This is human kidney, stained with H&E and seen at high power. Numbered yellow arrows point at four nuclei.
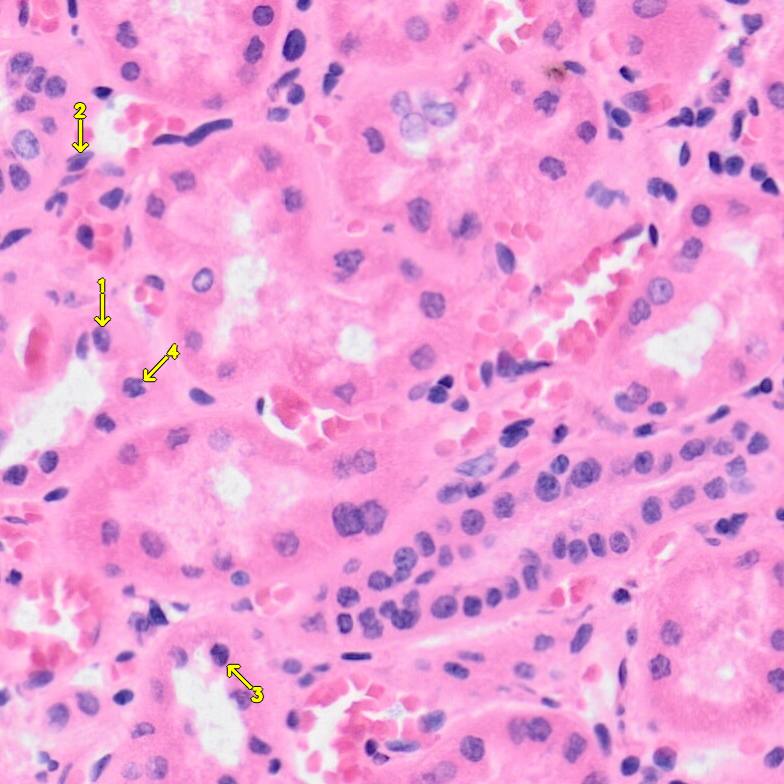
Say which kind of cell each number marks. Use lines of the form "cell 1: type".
cell 1: loop of Henle or distal tubule cell
cell 2: endothelial cell
cell 3: loop of Henle or distal tubule cell
cell 4: loop of Henle or distal tubule cell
